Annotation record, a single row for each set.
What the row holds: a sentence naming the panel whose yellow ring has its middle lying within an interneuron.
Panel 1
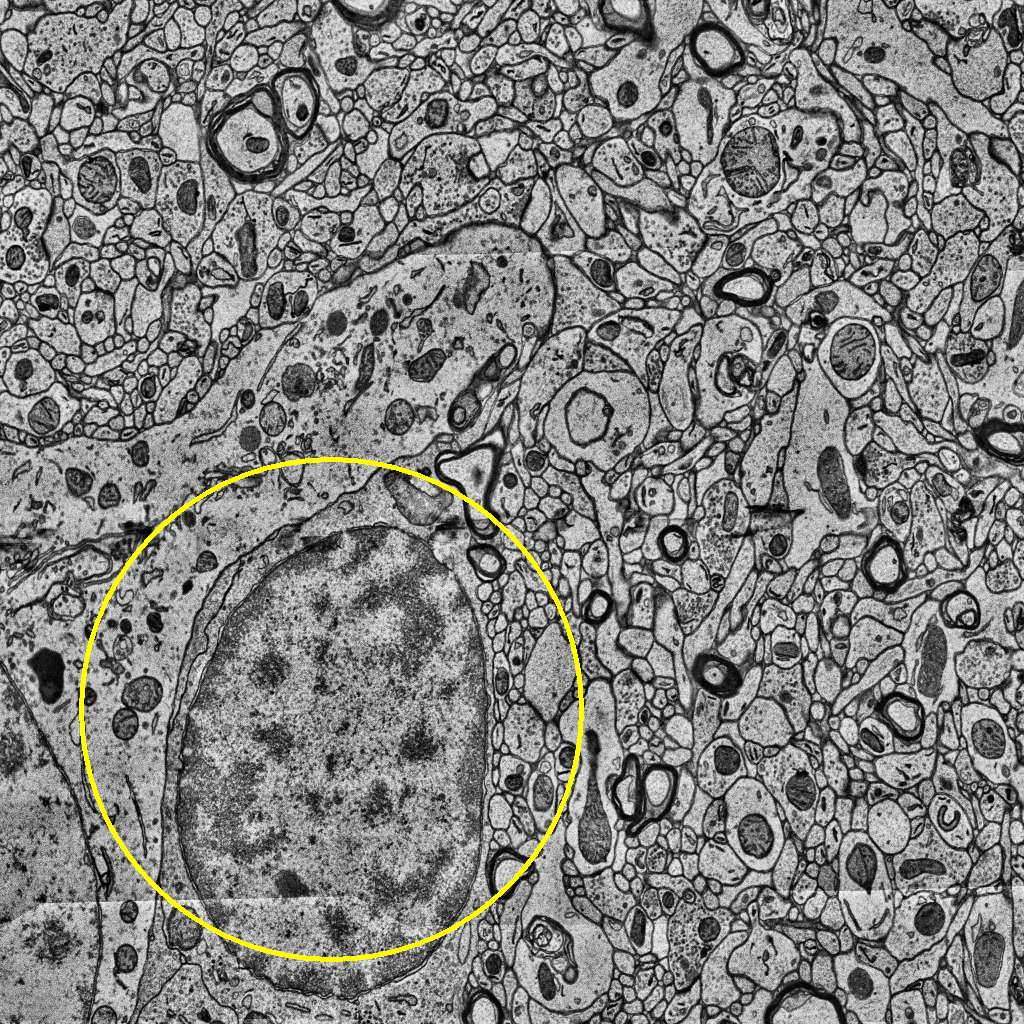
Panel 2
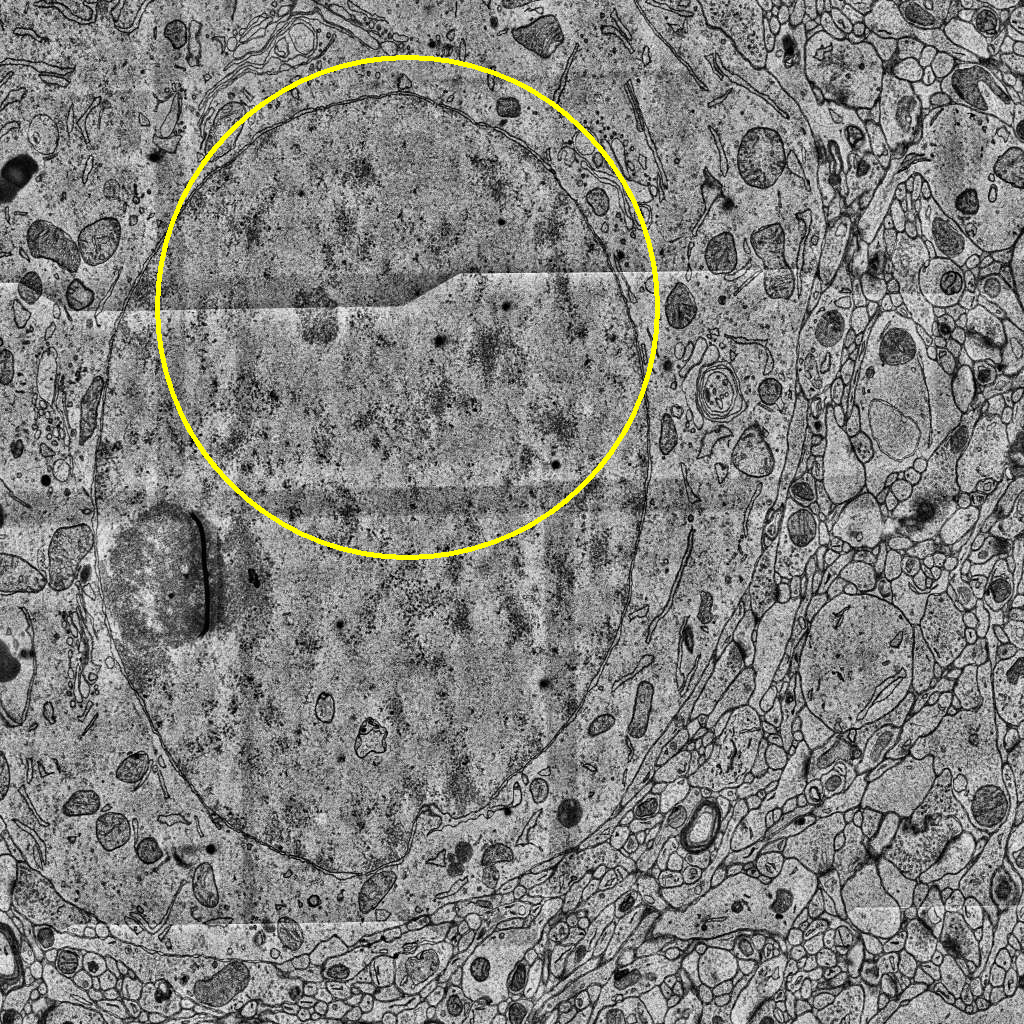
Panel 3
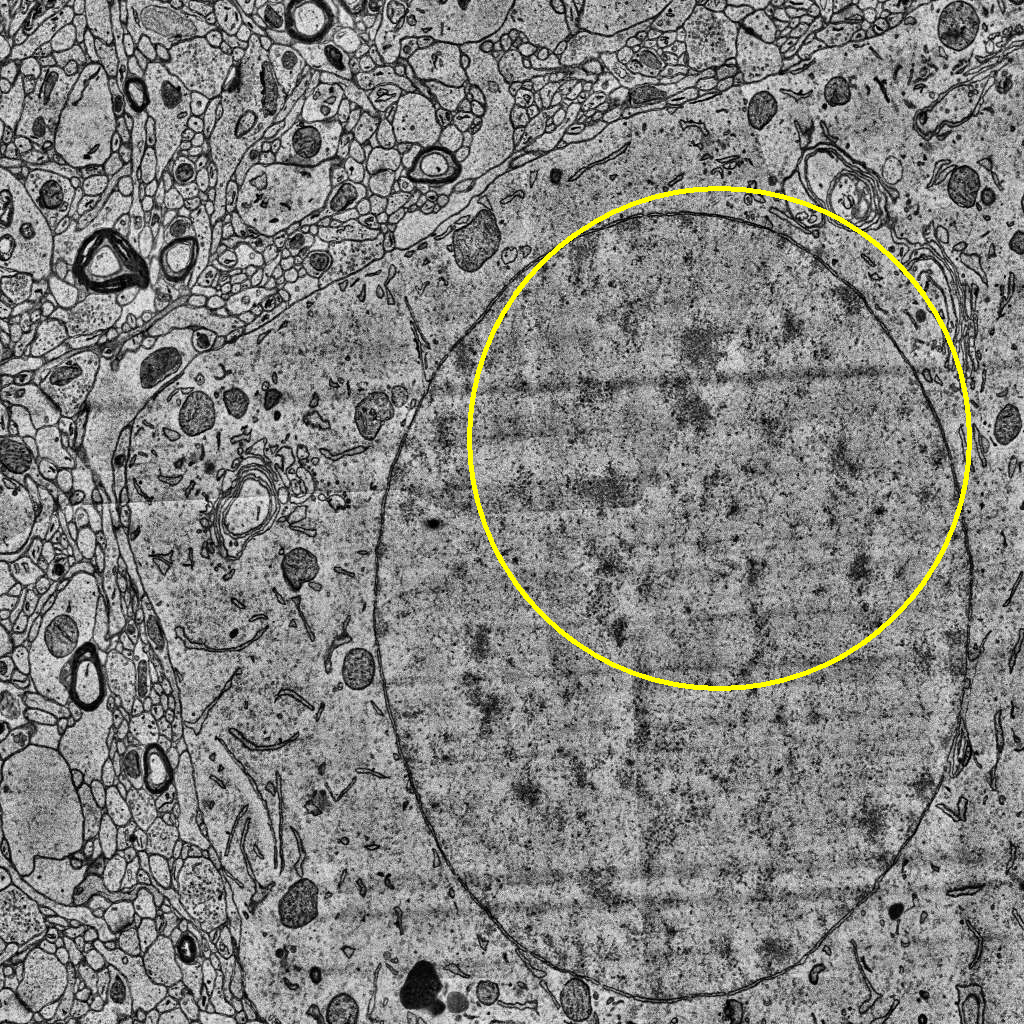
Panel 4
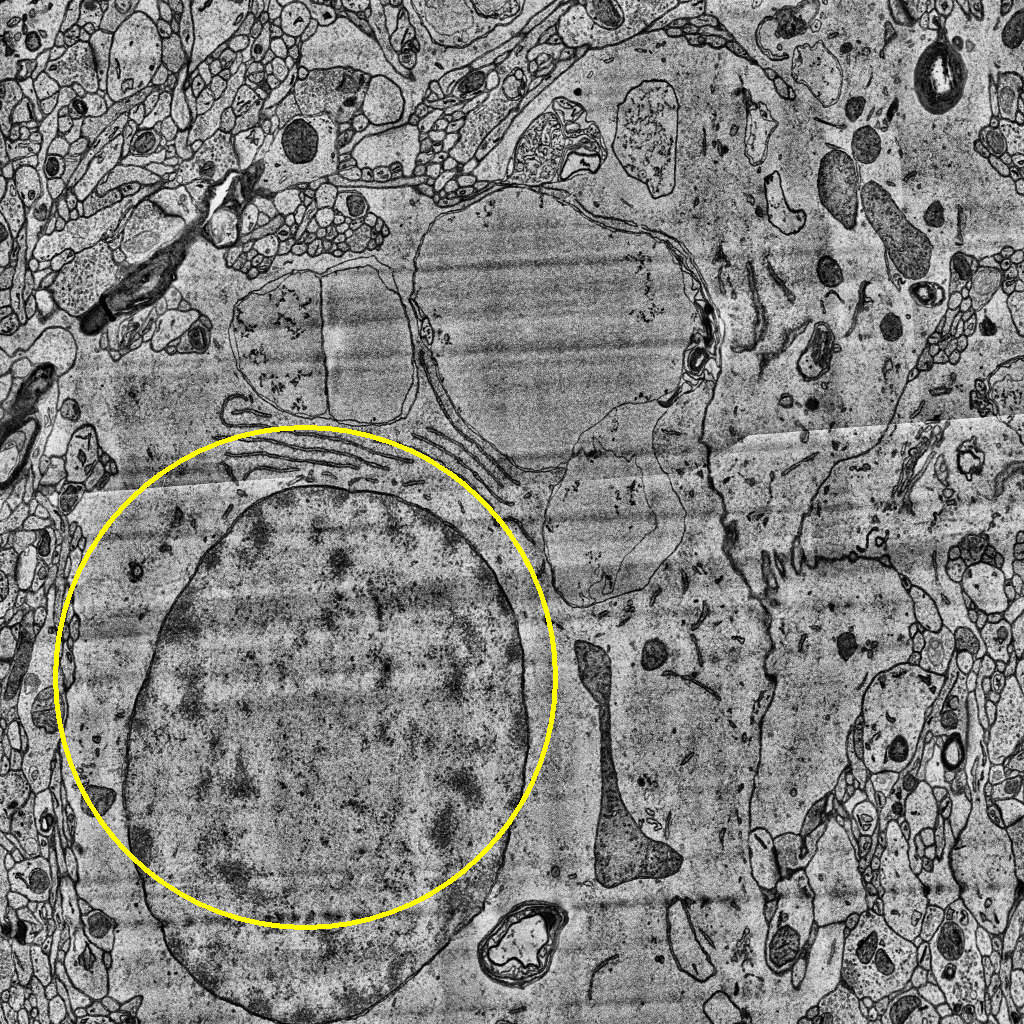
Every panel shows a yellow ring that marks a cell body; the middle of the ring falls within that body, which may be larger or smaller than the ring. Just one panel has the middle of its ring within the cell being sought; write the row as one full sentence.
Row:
In panel 2, the middle of the yellow ring lies within the cell that is sought.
